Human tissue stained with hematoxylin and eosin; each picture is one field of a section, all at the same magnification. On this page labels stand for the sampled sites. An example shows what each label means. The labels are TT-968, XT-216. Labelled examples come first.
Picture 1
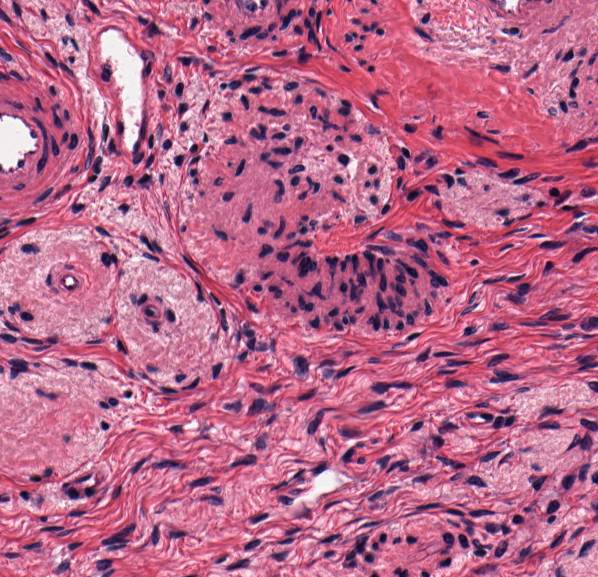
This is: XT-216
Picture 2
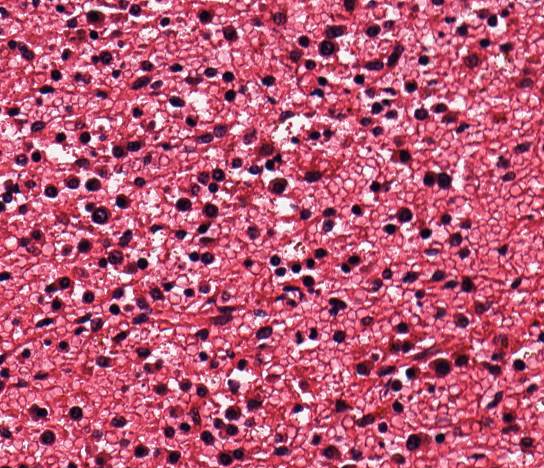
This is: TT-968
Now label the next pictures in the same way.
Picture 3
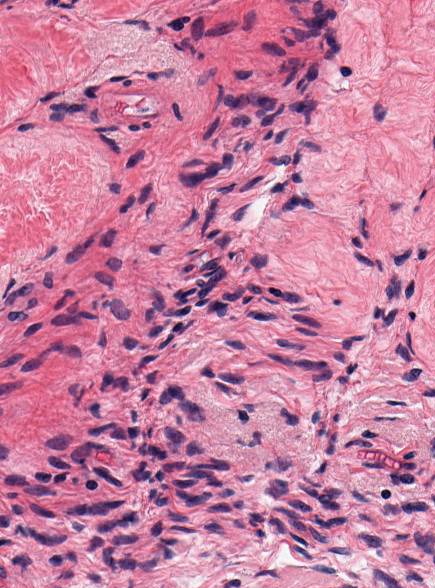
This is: XT-216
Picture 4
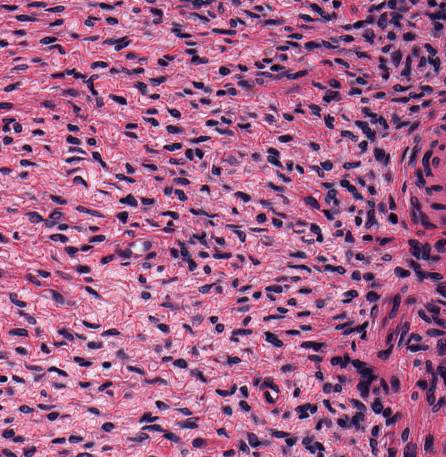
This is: XT-216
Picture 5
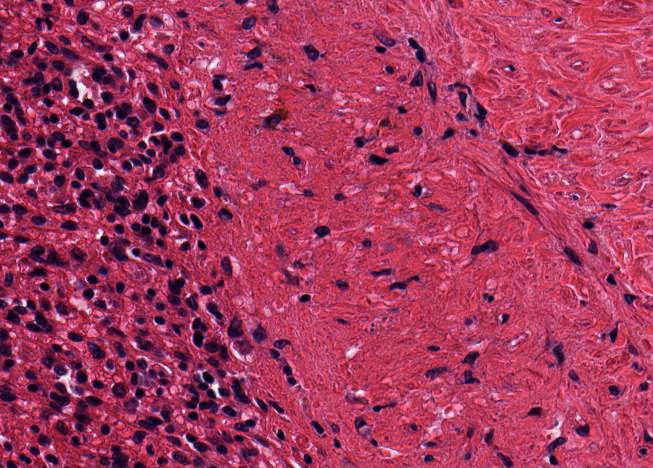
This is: TT-968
